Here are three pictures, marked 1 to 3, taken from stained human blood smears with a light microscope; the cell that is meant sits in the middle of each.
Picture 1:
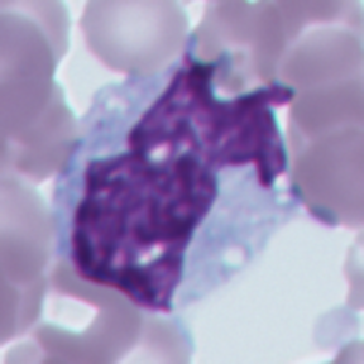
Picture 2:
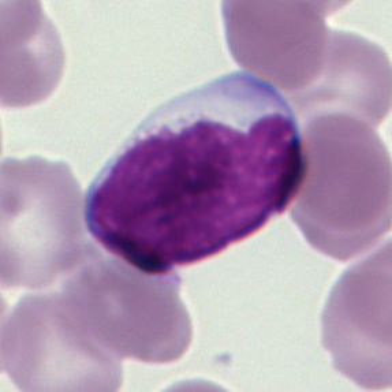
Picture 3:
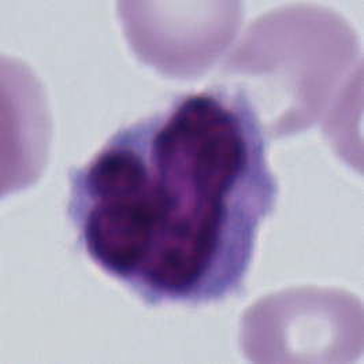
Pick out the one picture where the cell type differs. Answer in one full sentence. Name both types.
The different one is picture 2; it shows a large granular lymphocyte, whereas all the others show monocytes.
